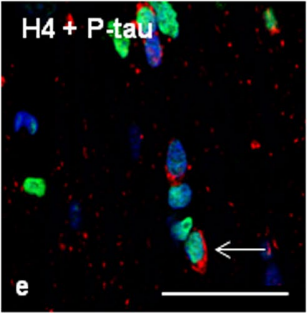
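The lowest cell of the row carries a thin red ring wrapped closely around its nucleus, a coiled body. Its nucleus is labelled green as strongly as those of its unburdened neighbours. Fine red puncta are scattered across the background.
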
